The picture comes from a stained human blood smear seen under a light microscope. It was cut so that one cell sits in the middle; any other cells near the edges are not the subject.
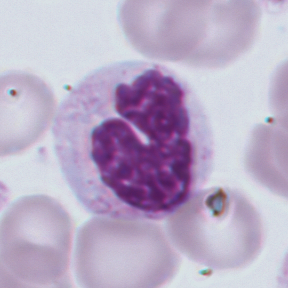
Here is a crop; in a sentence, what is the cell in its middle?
The central cell, amid any neighbouring cells, is a band neutrophil.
